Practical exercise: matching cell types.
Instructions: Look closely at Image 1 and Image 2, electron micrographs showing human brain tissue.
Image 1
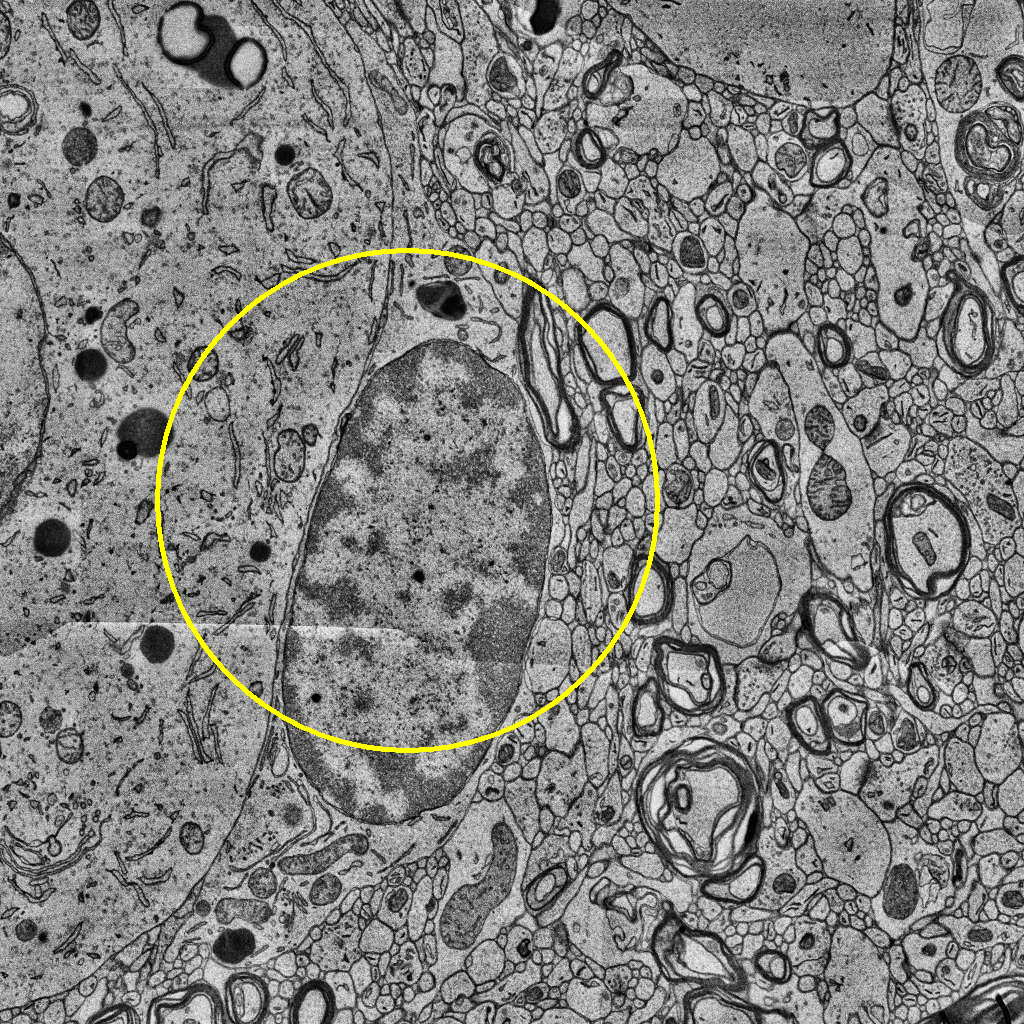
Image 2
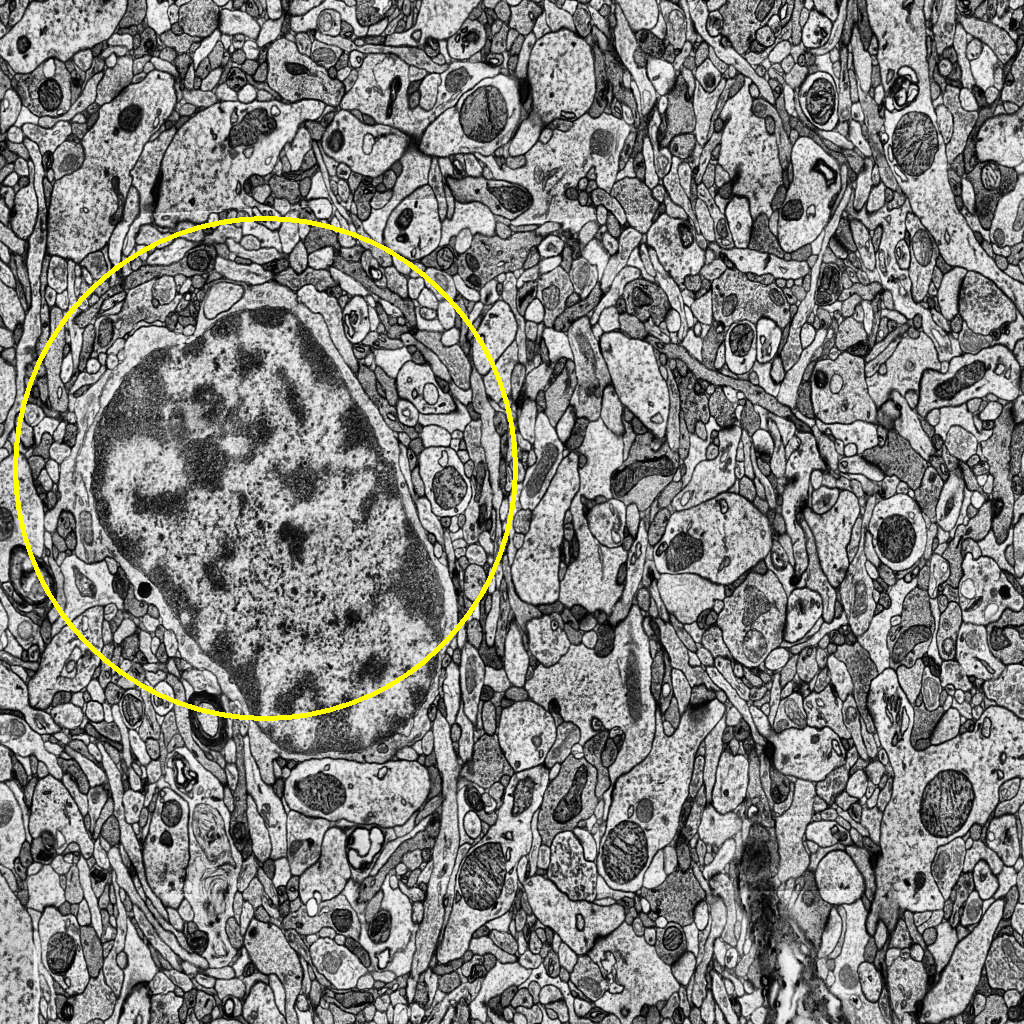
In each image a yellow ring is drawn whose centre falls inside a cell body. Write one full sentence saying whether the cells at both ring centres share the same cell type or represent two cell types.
Across Image 1 and Image 2, the cells at the ring centres share the same cell type.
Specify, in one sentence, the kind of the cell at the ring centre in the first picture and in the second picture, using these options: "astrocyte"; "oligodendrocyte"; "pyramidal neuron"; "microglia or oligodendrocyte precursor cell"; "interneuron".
Each cell at the centre of a ring is a microglial cell or oligodendrocyte precursor cell.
